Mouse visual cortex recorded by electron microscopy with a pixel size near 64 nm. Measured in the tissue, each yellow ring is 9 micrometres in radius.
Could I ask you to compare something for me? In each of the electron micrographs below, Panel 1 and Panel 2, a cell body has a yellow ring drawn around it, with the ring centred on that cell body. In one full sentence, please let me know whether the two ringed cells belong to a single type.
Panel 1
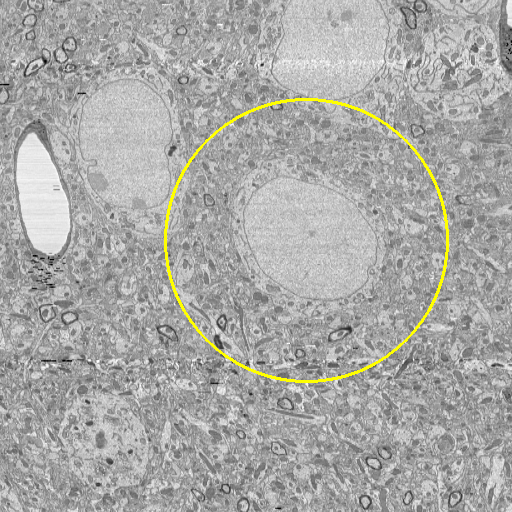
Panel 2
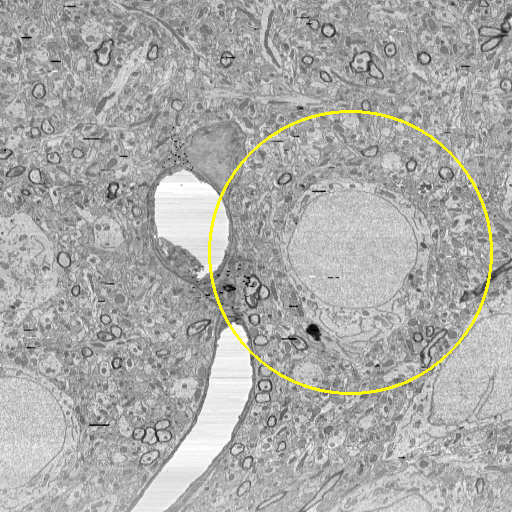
Yes, the two cells at the centres of the rings are of one type.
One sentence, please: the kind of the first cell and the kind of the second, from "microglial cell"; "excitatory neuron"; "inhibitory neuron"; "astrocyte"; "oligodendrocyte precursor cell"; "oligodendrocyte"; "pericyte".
In both pictures the ring is centred on an excitatory neuron.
